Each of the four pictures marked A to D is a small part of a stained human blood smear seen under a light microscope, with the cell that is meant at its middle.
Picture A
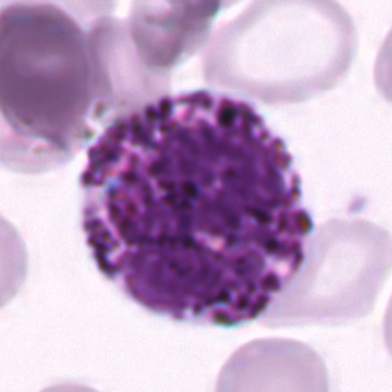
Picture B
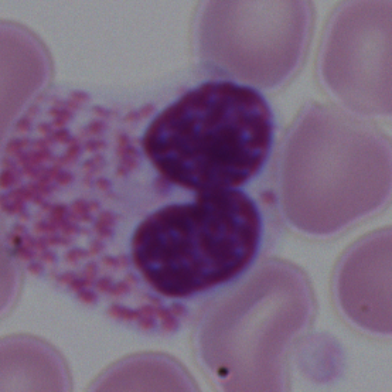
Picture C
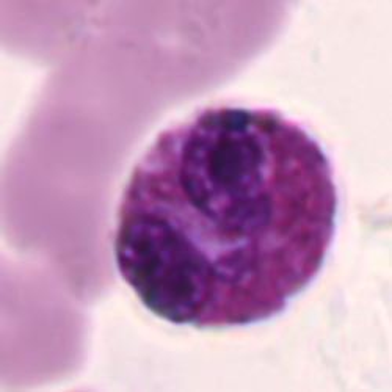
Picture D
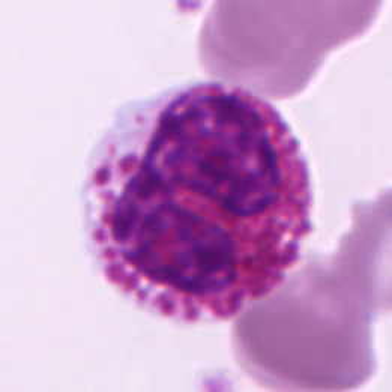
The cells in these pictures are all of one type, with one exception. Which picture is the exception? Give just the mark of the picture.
A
